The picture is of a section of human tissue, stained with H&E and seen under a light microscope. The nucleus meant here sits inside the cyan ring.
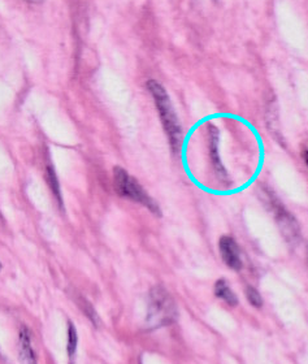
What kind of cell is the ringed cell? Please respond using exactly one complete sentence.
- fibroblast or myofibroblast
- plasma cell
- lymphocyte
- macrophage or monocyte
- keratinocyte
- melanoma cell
So far as cell type goes, the ringed cell is a fibroblast or myofibroblast.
